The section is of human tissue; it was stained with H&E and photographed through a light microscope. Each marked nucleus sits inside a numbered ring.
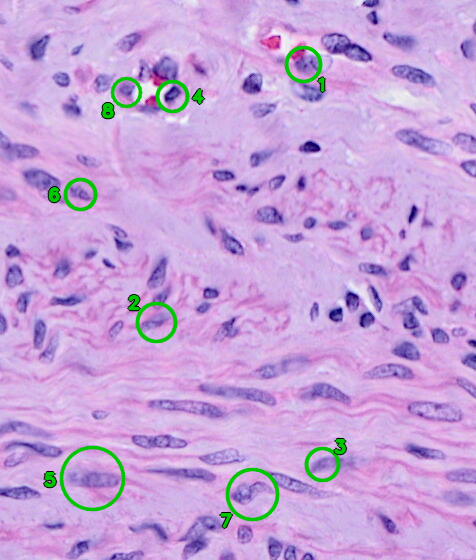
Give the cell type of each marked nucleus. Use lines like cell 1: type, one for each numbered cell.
cell 1: endothelial cell
cell 2: smooth muscle cell
cell 3: smooth muscle cell
cell 4: endothelial cell
cell 5: smooth muscle cell
cell 6: smooth muscle cell
cell 7: smooth muscle cell
cell 8: endothelial cell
